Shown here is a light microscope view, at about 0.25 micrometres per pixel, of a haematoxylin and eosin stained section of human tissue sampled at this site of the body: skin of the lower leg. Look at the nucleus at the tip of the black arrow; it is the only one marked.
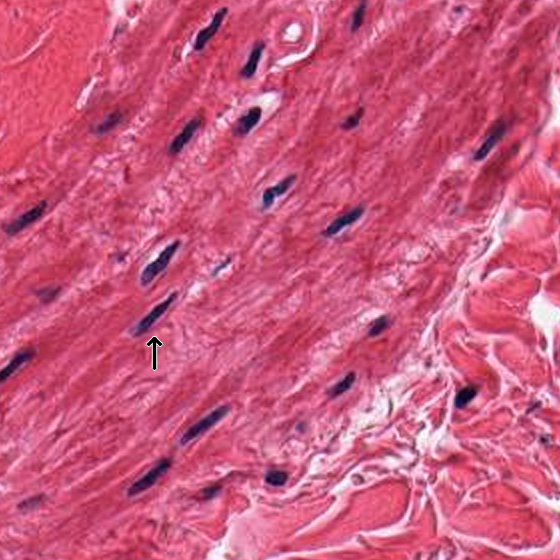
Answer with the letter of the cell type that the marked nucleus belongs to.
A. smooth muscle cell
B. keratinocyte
A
